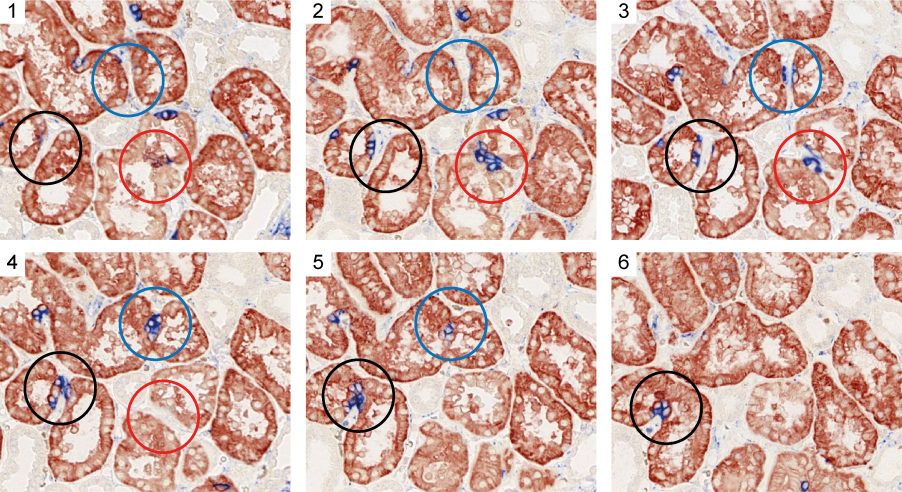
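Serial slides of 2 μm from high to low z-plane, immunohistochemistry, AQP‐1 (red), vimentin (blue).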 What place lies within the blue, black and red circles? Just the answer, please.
Inner bends of the proximal tubule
